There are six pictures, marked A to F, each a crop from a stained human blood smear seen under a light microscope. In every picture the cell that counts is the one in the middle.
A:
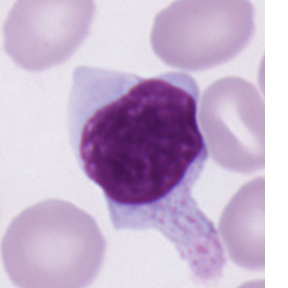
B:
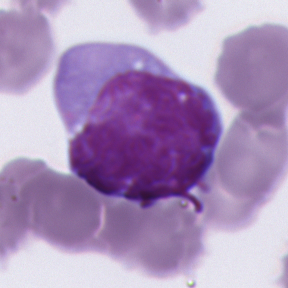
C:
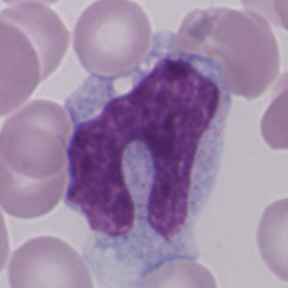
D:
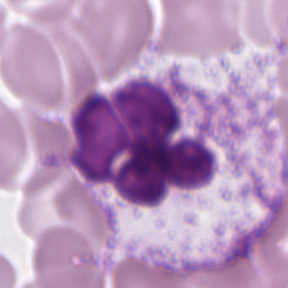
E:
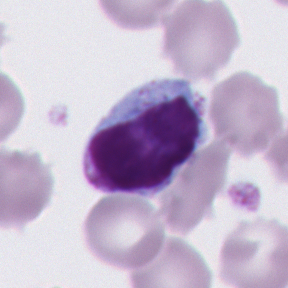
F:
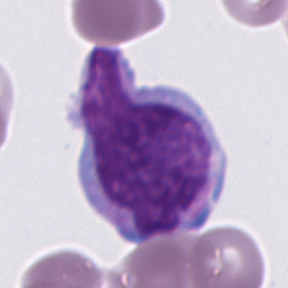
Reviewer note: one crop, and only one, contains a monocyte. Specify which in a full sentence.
Crop C is the one that shows a monocyte.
